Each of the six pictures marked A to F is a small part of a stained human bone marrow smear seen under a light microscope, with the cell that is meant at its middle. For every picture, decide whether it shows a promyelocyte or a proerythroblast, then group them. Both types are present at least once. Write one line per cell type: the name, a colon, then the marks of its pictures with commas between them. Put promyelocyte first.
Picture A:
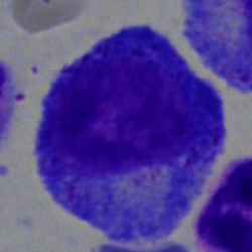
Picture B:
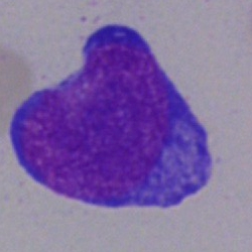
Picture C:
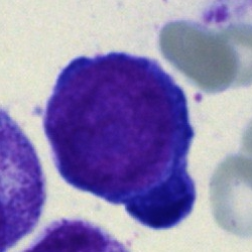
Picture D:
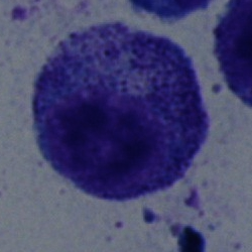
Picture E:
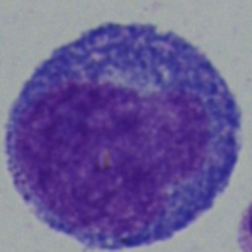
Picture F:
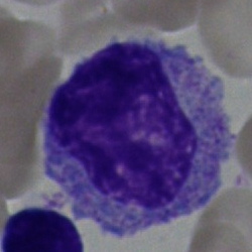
promyelocyte: A, D, E, F
proerythroblast: B, C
